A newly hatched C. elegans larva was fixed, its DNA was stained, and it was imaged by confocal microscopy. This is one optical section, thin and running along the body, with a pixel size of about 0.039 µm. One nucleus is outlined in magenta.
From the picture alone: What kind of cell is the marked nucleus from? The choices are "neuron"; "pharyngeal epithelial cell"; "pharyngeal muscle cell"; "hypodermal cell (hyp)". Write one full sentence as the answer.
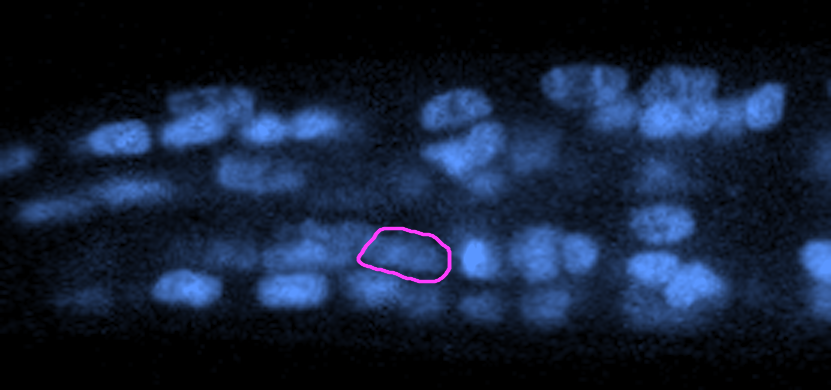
The marked nucleus is that of a pharyngeal epithelial cell.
